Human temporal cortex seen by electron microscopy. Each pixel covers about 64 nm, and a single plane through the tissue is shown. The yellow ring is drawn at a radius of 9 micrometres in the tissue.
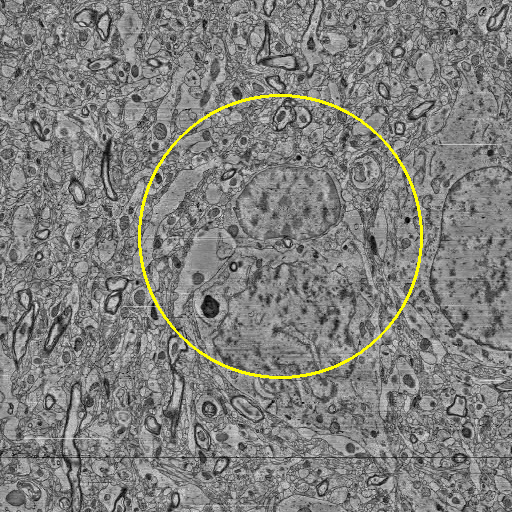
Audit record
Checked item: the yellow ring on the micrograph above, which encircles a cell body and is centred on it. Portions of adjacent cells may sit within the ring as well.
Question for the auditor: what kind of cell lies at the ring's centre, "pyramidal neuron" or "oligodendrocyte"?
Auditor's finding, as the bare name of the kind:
oligodendrocyte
